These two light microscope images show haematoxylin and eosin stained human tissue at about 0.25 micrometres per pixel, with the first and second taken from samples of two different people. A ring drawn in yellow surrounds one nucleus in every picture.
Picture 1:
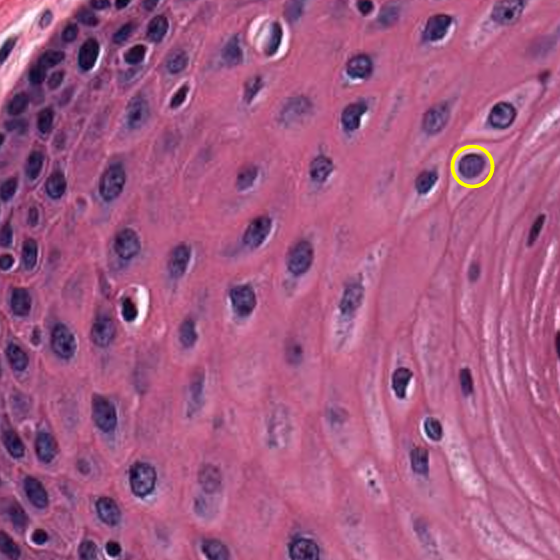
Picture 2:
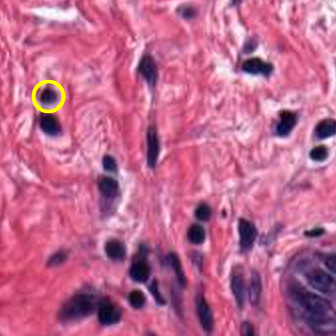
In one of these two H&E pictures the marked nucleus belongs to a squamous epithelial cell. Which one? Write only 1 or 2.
1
